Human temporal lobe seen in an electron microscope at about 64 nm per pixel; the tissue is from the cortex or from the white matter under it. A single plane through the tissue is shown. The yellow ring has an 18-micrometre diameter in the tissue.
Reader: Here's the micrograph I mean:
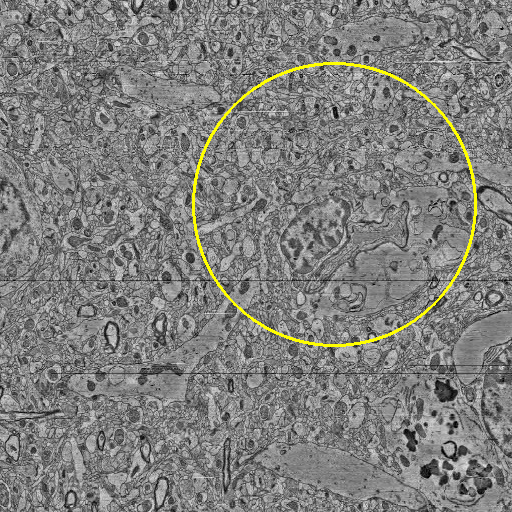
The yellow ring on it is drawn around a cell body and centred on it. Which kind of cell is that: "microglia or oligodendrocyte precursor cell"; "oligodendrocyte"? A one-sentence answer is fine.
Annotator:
The ring is centred on a microglial cell or oligodendrocyte precursor cell.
